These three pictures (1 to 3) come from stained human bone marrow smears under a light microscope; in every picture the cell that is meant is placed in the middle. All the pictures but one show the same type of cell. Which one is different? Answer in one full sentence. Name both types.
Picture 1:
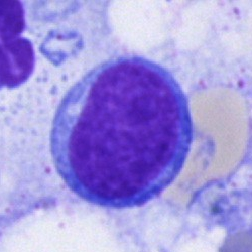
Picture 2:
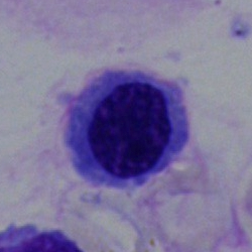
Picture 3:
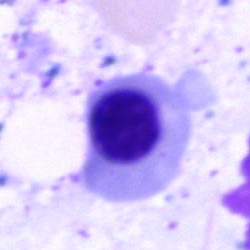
The others show erythroblasts, but picture 1 shows a blast.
